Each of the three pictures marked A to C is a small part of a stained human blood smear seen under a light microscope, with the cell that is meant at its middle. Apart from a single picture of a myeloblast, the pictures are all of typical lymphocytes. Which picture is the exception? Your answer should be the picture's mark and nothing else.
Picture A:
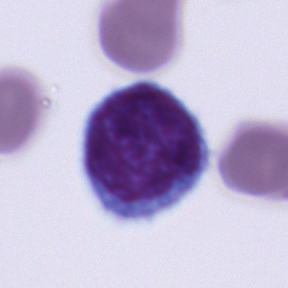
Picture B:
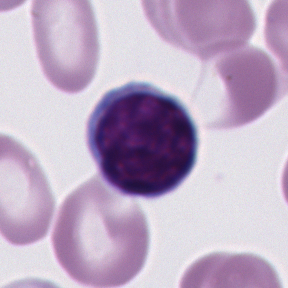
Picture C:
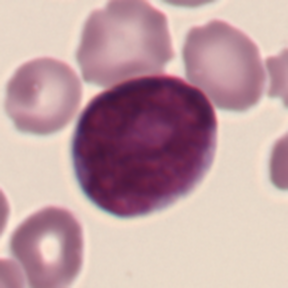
C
